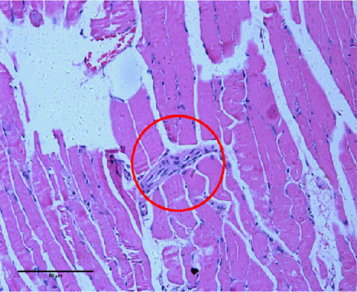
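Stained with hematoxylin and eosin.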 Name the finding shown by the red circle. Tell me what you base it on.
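Inflammation. Inside the circle a cluster of small, dark purple nuclei lies between the muscle fibres.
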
